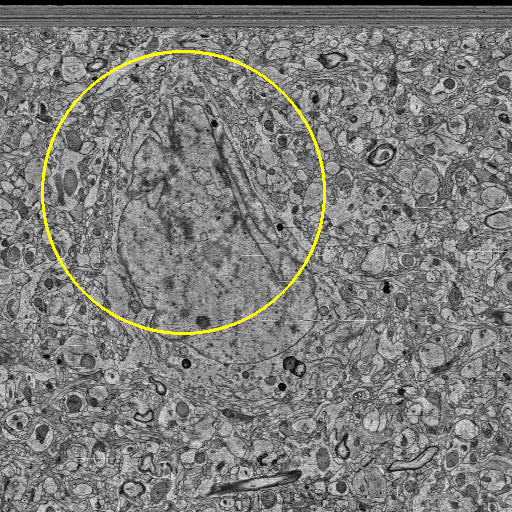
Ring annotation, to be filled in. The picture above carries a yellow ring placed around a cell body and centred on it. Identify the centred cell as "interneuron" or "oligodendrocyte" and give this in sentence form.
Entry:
The cell in the middle of the ring is an interneuron.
